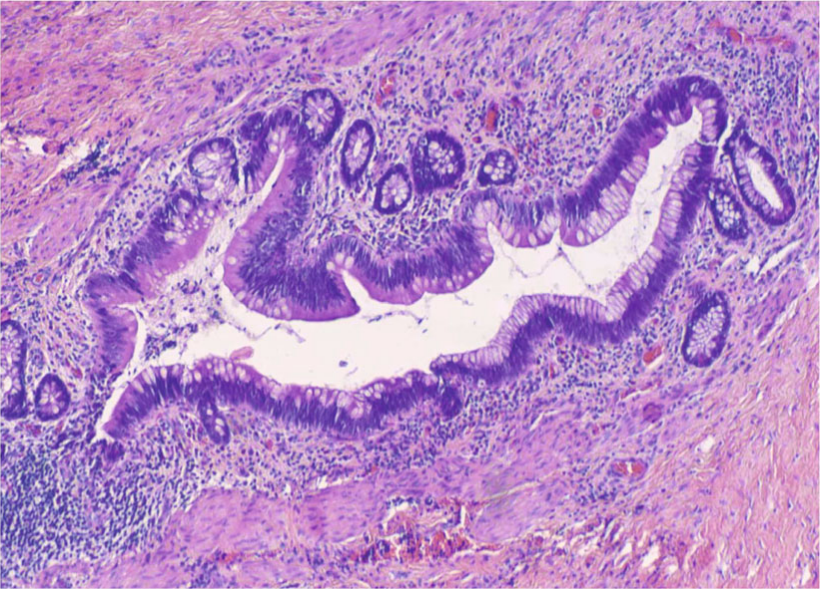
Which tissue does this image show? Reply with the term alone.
Mucinous glandular epithelium.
